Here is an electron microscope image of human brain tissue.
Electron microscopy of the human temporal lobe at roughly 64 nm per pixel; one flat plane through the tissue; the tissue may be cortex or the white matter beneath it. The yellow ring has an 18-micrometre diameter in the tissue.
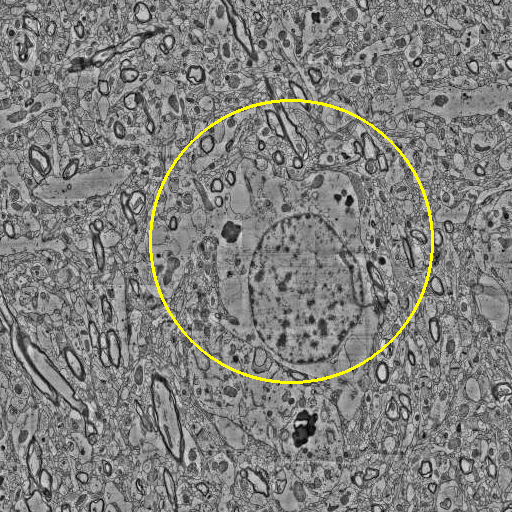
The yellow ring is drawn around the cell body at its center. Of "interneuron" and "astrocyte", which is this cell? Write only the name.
astrocyte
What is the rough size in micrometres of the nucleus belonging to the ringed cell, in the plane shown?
The nucleus measures about 10 by 8 micrometres in this plane.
